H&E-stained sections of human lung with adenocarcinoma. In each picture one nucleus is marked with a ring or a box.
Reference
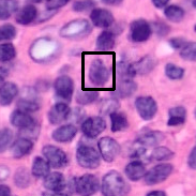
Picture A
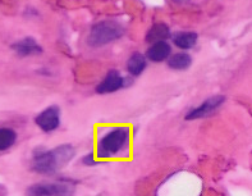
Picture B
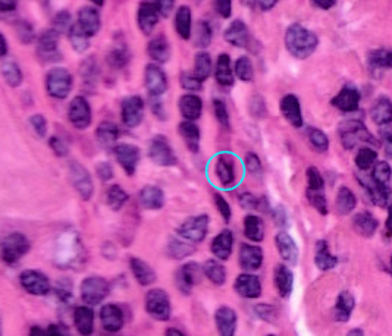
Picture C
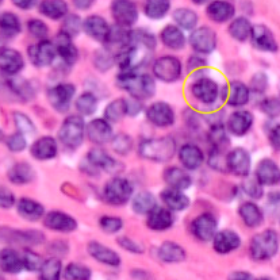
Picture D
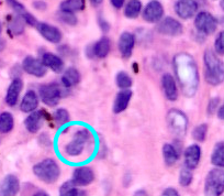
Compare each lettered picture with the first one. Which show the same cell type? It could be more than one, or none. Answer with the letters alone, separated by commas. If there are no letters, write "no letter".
C, D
